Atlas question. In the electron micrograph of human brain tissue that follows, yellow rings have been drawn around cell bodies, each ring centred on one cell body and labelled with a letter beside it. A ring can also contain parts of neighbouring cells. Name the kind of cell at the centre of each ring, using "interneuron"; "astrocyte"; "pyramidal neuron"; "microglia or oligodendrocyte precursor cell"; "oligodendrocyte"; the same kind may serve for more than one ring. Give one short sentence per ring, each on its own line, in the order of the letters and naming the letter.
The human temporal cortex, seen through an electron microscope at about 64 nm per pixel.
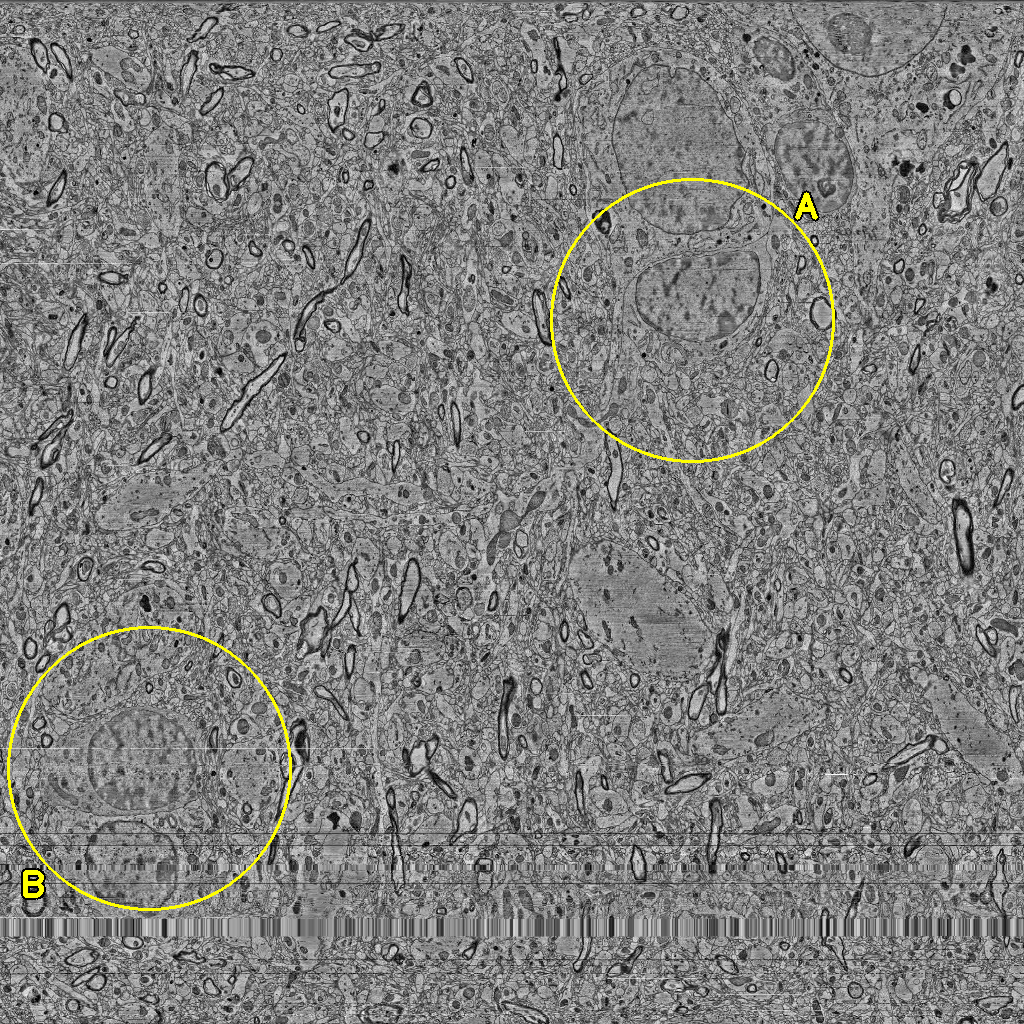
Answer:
For ring A, the cell at the centre is a microglial cell or oligodendrocyte precursor cell.
For ring B, the cell at the centre is an oligodendrocyte.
